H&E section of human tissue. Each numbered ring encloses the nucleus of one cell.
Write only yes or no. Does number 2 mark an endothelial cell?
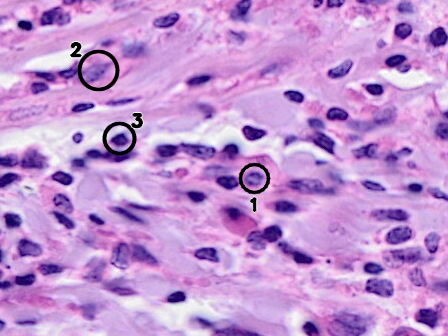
yes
